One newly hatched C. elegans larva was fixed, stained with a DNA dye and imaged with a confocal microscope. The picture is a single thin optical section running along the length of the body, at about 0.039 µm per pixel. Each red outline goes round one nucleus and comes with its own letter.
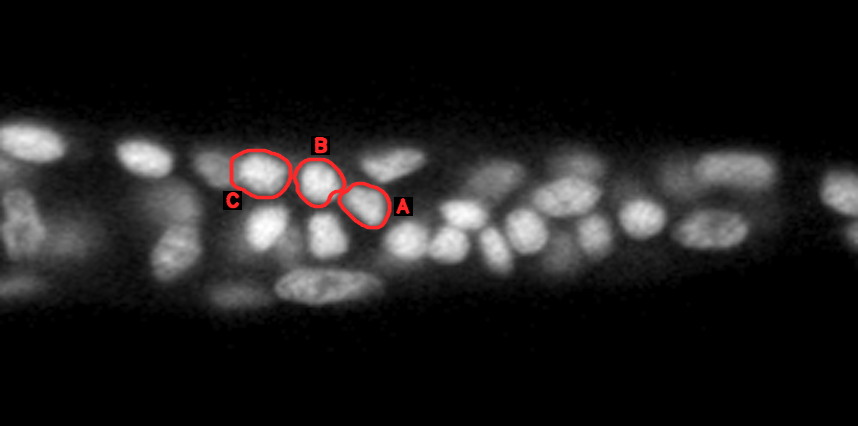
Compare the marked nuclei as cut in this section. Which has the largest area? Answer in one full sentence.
C has the largest area in this section.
